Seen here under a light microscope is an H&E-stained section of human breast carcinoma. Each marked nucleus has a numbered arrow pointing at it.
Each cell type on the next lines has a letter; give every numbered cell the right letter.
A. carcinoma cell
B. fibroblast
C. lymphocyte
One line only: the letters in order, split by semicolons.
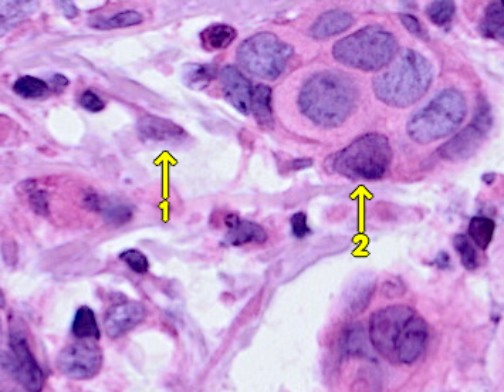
B; A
